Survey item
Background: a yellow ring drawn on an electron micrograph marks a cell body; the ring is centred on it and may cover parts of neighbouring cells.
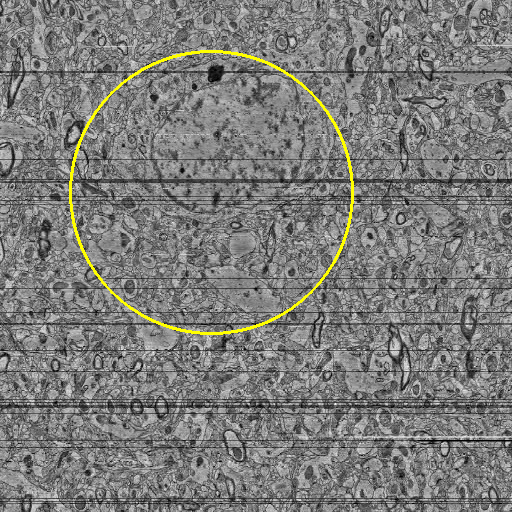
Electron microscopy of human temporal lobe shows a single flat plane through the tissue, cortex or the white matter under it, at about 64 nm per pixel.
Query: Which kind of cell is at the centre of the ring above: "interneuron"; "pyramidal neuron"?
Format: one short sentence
The cell in the middle of the ring is an interneuron.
